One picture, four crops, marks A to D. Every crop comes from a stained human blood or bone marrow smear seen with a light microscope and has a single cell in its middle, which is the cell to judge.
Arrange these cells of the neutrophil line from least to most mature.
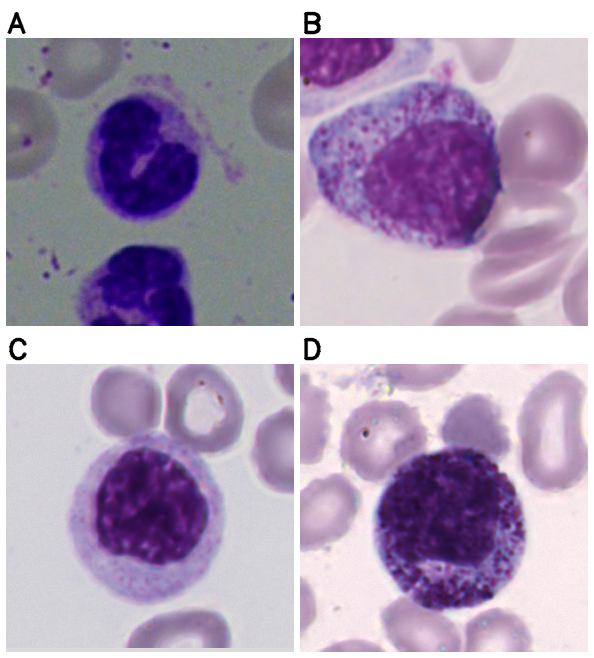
B, D, C, A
